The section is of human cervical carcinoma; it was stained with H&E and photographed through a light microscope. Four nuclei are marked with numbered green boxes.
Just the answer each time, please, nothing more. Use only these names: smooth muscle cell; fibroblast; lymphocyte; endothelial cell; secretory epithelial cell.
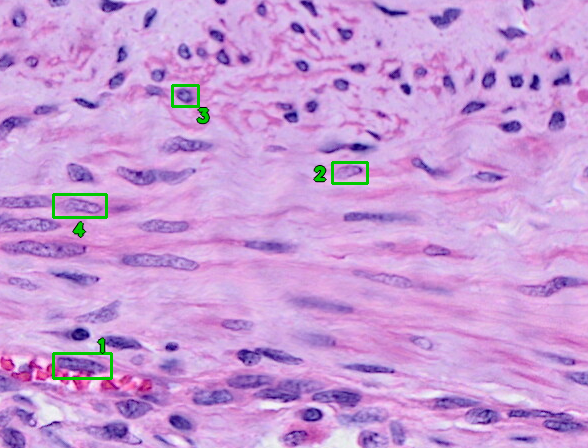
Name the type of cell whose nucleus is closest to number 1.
lymphocyte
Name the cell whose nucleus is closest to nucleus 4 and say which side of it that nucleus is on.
a smooth muscle cell; above nucleus 4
